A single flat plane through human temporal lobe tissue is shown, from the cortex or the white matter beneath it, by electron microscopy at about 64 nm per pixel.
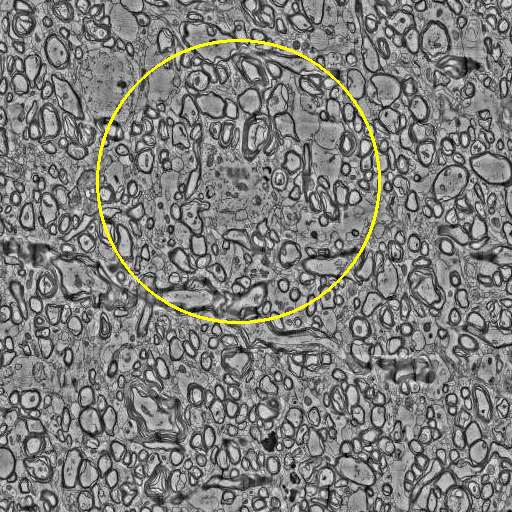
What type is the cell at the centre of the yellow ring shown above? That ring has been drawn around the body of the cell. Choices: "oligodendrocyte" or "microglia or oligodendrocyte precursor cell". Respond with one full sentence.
My answer is that a microglial cell or oligodendrocyte precursor cell lies at the centre of the yellow ring above.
